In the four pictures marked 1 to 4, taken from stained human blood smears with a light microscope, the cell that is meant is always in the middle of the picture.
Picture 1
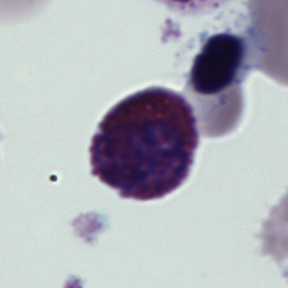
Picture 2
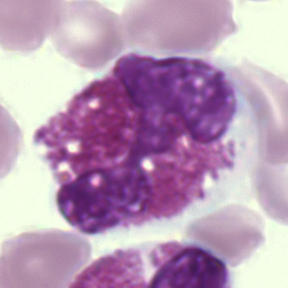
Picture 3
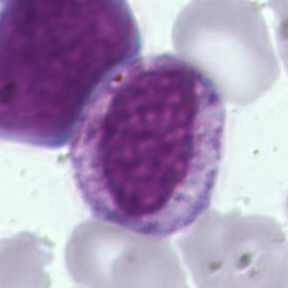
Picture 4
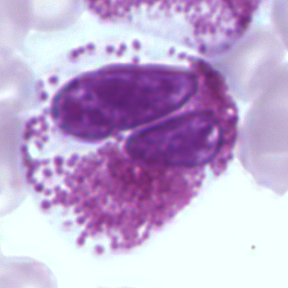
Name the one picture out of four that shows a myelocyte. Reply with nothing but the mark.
3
